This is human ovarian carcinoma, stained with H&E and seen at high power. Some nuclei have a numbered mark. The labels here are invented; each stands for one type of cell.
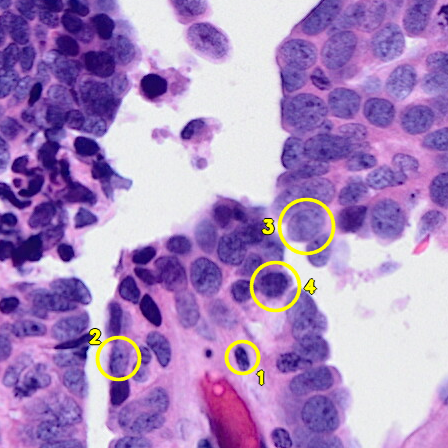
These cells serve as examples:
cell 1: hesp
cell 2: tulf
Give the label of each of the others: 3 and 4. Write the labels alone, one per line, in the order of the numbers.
tulf
tulf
